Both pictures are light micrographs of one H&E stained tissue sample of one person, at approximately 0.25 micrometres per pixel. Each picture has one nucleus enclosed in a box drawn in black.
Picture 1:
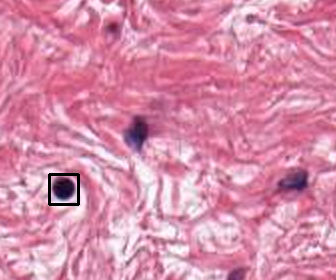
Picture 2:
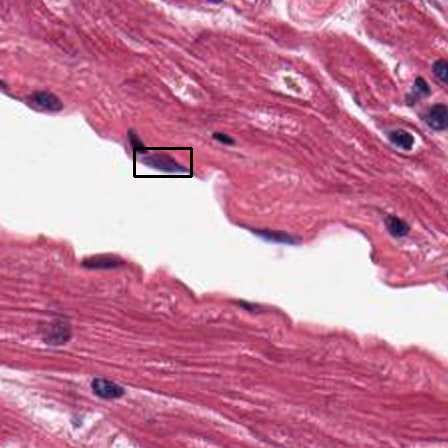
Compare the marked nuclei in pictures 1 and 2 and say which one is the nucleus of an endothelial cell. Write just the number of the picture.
2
